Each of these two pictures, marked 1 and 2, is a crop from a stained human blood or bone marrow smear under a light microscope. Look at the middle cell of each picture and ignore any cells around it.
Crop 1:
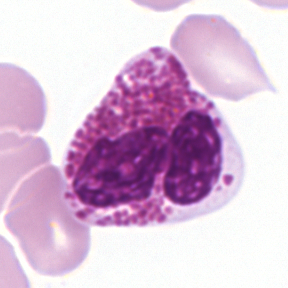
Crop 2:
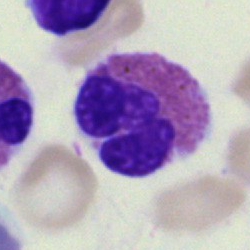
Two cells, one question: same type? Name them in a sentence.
Yes, both crops contain eosinophils at their centres.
